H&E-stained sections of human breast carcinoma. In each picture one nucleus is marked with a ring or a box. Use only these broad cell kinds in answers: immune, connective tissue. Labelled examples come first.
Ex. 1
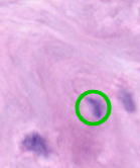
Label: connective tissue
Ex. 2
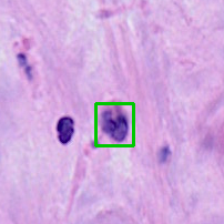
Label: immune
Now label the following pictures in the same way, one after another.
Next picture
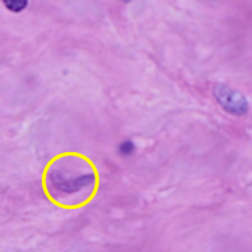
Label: connective tissue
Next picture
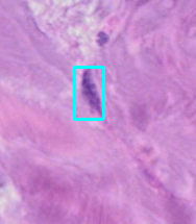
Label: connective tissue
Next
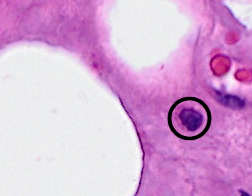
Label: immune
